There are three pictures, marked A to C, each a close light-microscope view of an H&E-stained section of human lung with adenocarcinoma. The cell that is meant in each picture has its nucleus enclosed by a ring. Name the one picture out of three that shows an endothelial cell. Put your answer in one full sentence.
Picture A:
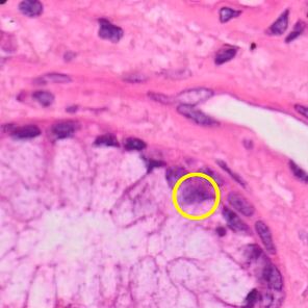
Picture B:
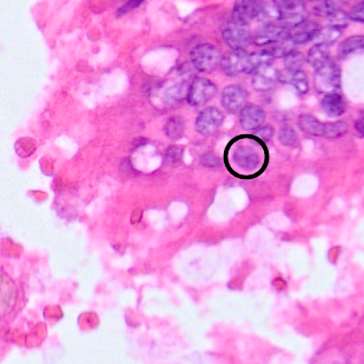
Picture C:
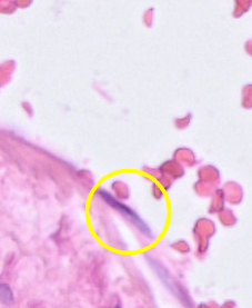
The picture with the endothelial cell is C.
